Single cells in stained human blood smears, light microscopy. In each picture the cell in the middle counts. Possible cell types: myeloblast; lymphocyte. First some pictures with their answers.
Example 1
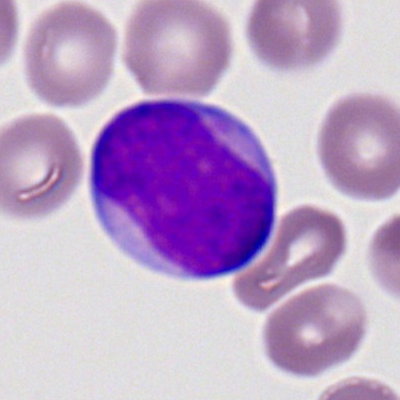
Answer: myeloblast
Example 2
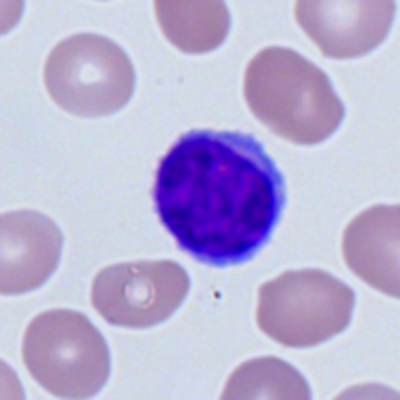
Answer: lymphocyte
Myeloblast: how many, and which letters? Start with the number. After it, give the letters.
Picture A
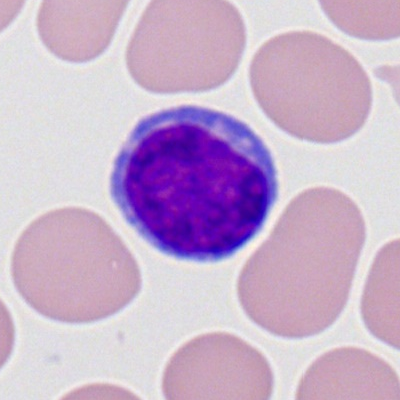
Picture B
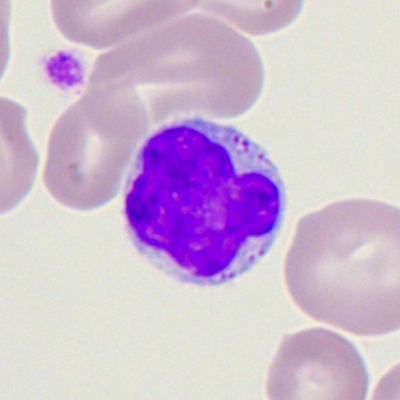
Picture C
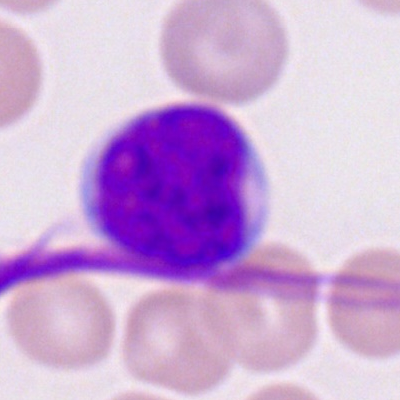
1: C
